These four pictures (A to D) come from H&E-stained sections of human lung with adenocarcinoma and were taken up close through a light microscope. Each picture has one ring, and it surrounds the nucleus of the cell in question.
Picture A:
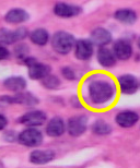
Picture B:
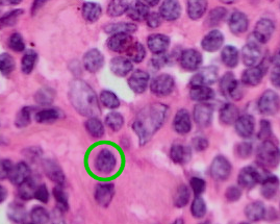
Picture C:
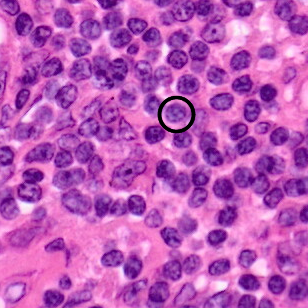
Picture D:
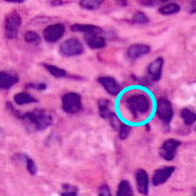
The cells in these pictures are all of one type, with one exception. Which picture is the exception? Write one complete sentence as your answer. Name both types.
All pictures except D show lymphocytes; picture D shows a plasma cell.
